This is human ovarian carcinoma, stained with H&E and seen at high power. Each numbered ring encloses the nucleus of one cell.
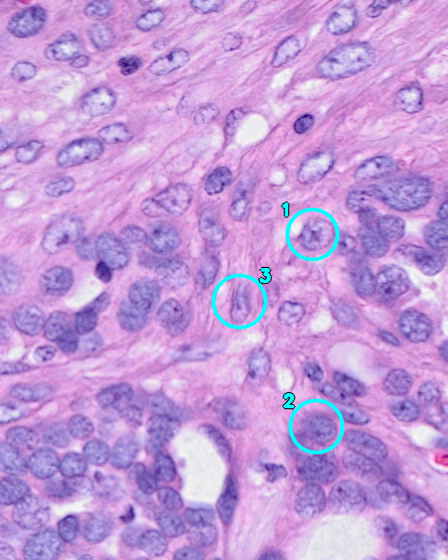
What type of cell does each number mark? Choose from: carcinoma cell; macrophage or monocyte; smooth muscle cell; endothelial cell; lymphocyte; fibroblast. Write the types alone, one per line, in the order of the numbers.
fibroblast
carcinoma cell
fibroblast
